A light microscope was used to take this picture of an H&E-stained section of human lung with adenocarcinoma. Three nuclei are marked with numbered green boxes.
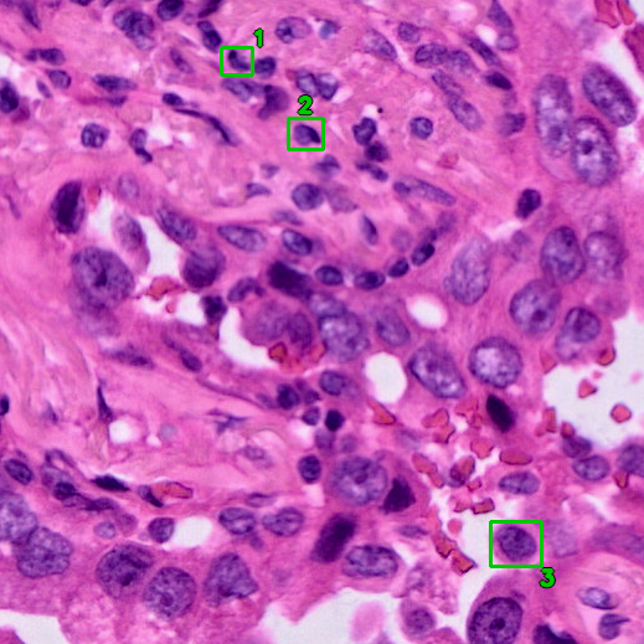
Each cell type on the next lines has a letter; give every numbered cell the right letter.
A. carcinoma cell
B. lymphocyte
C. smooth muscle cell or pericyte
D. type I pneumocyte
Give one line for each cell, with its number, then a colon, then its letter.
1: B
2: B
3: A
